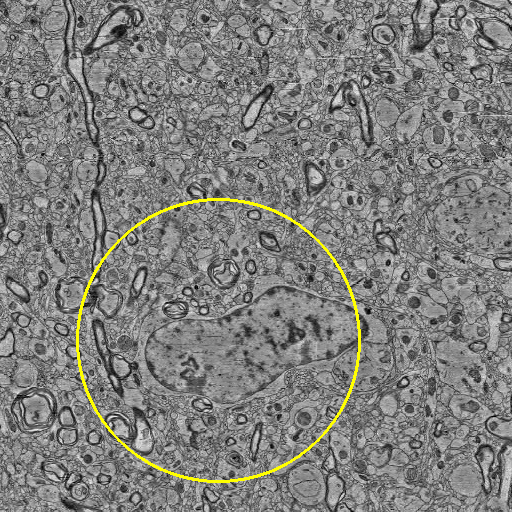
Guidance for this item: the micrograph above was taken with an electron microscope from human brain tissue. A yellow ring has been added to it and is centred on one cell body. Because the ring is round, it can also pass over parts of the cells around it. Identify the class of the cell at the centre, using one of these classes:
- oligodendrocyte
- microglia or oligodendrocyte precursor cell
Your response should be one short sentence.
The ring surrounds the body of a microglial cell or oligodendrocyte precursor cell.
